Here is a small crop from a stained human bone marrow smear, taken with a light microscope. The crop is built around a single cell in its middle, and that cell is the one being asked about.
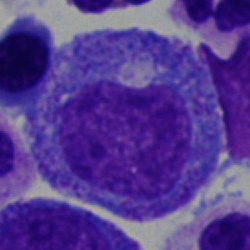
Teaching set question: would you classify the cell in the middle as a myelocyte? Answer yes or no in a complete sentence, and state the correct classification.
No, the central cell is not to be called a myelocyte, being a promyelocyte.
